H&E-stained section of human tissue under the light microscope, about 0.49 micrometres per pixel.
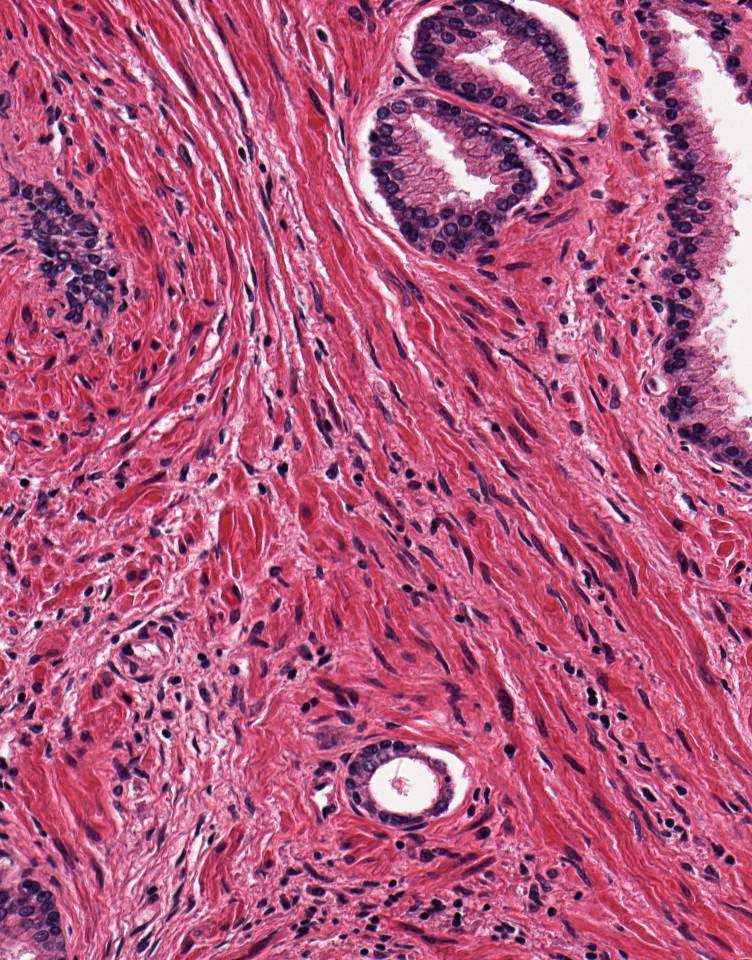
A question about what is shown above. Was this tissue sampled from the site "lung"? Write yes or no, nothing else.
no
